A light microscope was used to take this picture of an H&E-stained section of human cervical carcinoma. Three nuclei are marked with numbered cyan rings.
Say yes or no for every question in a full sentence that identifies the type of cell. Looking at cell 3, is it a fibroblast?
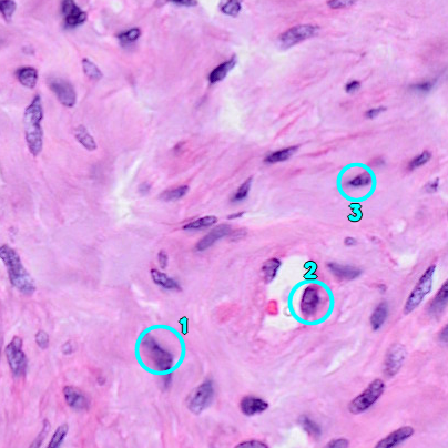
Yes, the marked cell number 3 is a fibroblast.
